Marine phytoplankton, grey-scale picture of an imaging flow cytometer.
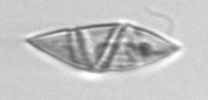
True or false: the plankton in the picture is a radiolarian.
False; it is Gyrodinium.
